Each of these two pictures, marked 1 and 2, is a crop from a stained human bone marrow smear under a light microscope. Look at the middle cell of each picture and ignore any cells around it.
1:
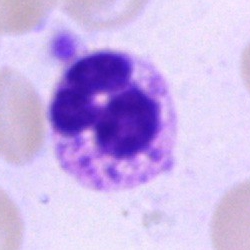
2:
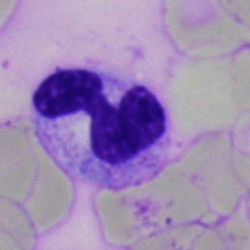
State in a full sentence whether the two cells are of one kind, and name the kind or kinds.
Yes, the two crops show segmented neutrophils at their centres.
